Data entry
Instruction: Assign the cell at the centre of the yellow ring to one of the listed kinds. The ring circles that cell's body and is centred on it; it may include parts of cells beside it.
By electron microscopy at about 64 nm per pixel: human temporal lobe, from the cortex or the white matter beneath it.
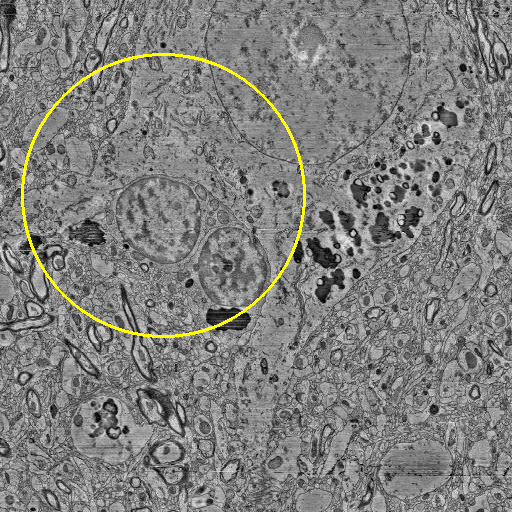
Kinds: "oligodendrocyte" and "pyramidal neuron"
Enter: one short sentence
The centre of the ring falls on an oligodendrocyte.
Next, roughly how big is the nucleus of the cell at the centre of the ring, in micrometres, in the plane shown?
In this plane, approximately 6 micrometres across.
